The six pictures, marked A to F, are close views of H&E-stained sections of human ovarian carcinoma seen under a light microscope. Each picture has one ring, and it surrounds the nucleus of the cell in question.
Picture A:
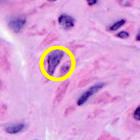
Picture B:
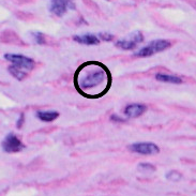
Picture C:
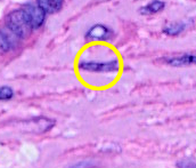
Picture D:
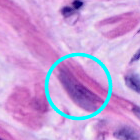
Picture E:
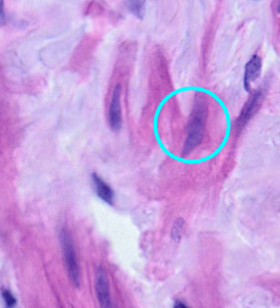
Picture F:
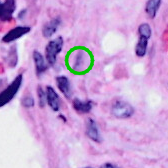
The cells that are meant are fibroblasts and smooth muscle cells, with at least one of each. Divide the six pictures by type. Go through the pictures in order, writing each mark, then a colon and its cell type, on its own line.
A: smooth muscle cell
B: fibroblast
C: fibroblast
D: smooth muscle cell
E: smooth muscle cell
F: fibroblast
